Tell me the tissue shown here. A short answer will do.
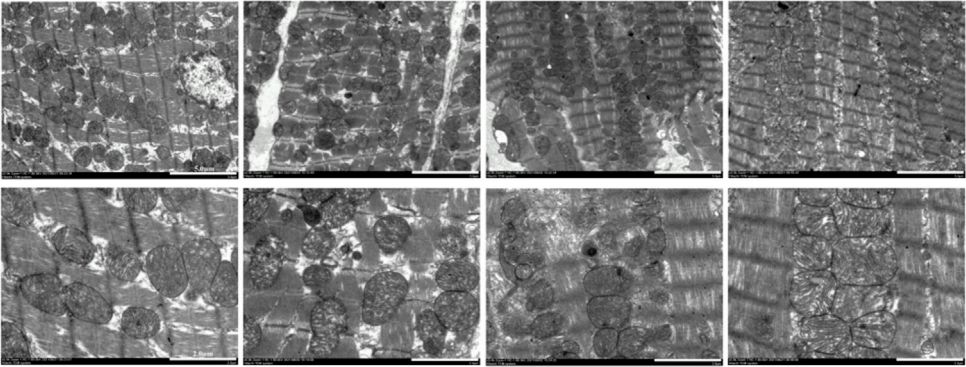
Myocardium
